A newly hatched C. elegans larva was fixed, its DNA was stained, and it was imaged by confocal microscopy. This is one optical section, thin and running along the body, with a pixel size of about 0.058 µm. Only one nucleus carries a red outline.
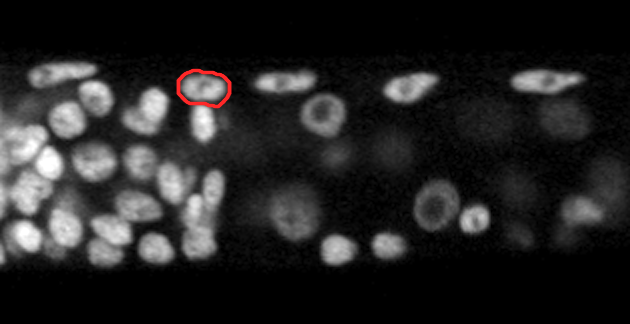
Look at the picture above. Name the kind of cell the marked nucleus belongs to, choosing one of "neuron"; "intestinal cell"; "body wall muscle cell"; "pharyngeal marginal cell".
body wall muscle cell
